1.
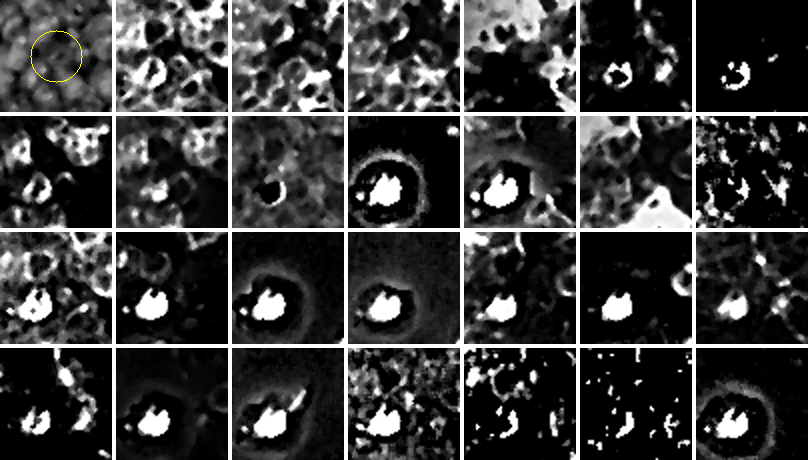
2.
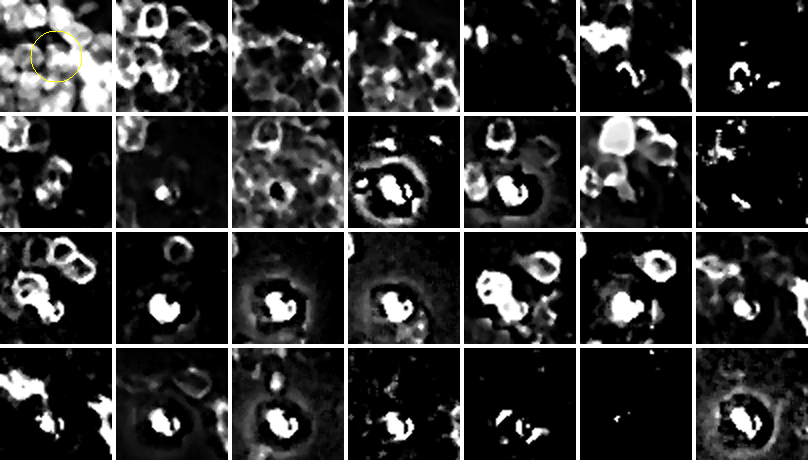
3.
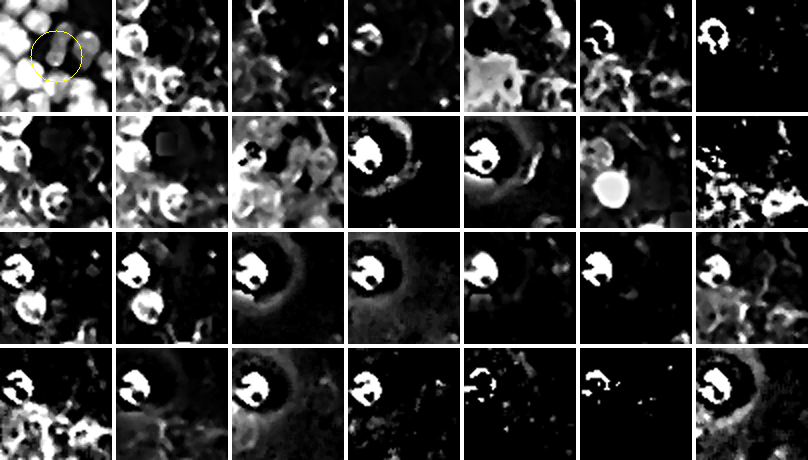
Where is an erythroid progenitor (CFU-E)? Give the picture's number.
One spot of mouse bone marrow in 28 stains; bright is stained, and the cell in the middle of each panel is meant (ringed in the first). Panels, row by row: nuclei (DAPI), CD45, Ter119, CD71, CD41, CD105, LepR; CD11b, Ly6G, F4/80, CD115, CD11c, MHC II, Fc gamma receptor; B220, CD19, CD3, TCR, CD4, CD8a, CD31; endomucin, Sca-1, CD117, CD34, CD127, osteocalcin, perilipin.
1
